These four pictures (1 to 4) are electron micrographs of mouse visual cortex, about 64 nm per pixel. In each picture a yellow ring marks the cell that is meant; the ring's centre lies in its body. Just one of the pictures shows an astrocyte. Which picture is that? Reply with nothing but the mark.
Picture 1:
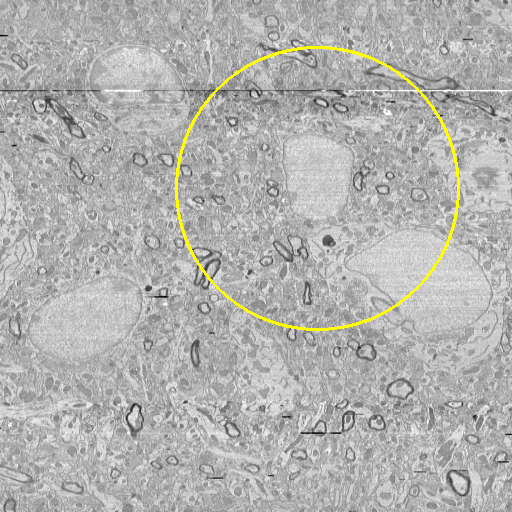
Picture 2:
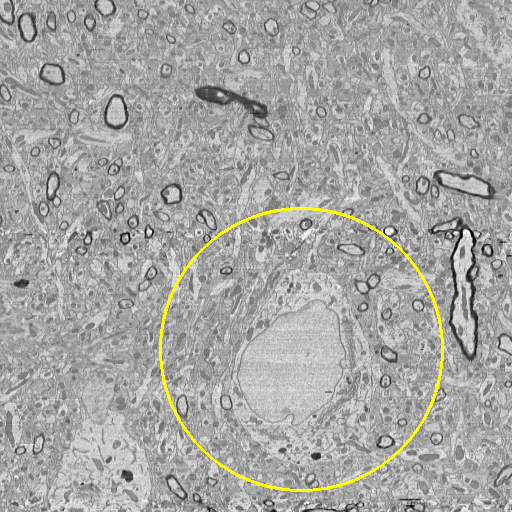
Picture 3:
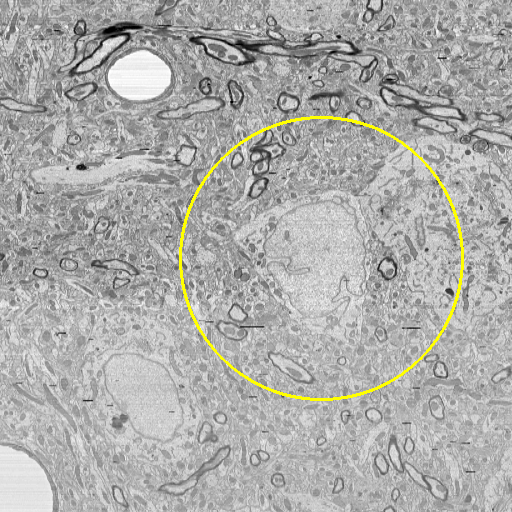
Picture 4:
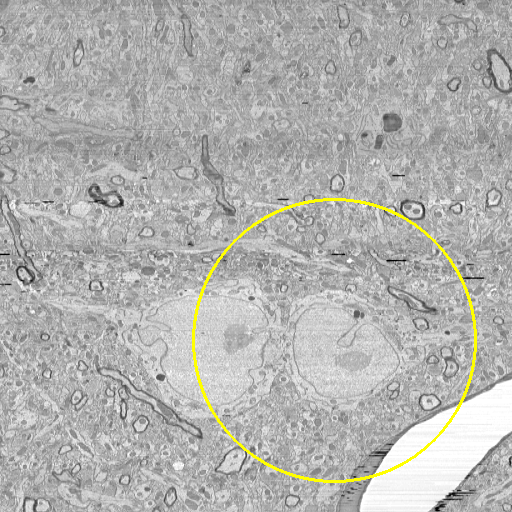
1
